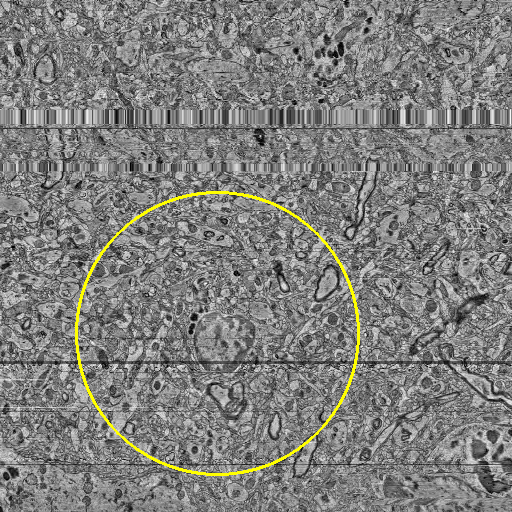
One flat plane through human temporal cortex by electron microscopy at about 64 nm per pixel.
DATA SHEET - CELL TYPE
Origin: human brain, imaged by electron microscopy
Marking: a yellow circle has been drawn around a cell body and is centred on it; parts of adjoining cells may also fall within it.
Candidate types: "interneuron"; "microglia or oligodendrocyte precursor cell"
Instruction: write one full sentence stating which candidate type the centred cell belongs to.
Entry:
The cell body at the centre of the yellow ring in this micrograph belongs to a microglial cell or oligodendrocyte precursor cell.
